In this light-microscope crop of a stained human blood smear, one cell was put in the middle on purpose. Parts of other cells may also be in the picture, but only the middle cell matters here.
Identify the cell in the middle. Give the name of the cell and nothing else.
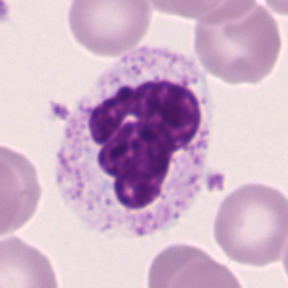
neutrophil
